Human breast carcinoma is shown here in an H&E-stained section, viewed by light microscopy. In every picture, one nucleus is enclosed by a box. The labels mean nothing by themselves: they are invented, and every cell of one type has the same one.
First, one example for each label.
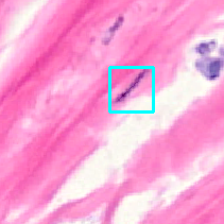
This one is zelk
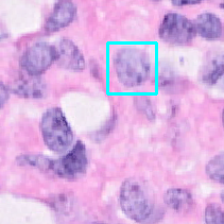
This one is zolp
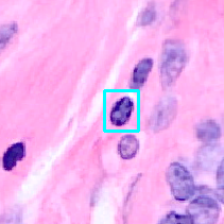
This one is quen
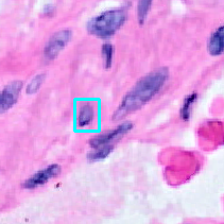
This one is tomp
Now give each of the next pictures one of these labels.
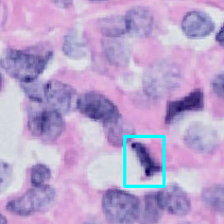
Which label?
zolp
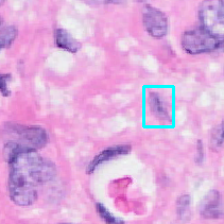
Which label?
zelk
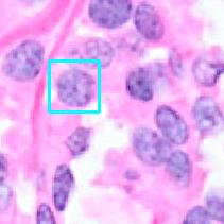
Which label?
zolp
